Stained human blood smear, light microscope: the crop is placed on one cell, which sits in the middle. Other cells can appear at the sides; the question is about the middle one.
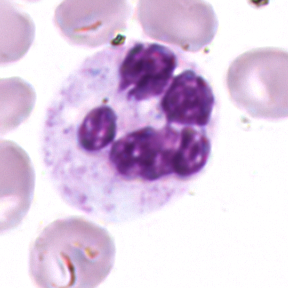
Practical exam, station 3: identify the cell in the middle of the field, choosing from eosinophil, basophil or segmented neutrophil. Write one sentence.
The middle cell in this particular crop is a segmented neutrophil.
